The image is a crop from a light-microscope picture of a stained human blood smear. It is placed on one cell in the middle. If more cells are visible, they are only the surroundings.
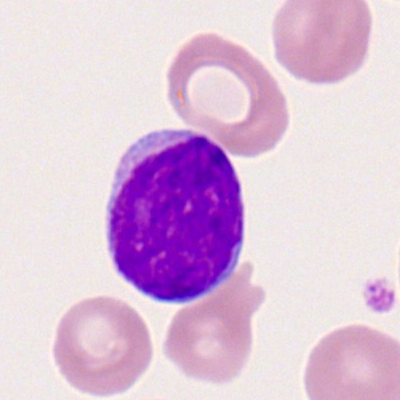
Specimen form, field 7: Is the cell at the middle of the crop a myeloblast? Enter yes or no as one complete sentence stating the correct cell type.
No, it is a lymphocyte that sits in the middle, not a myeloblast.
